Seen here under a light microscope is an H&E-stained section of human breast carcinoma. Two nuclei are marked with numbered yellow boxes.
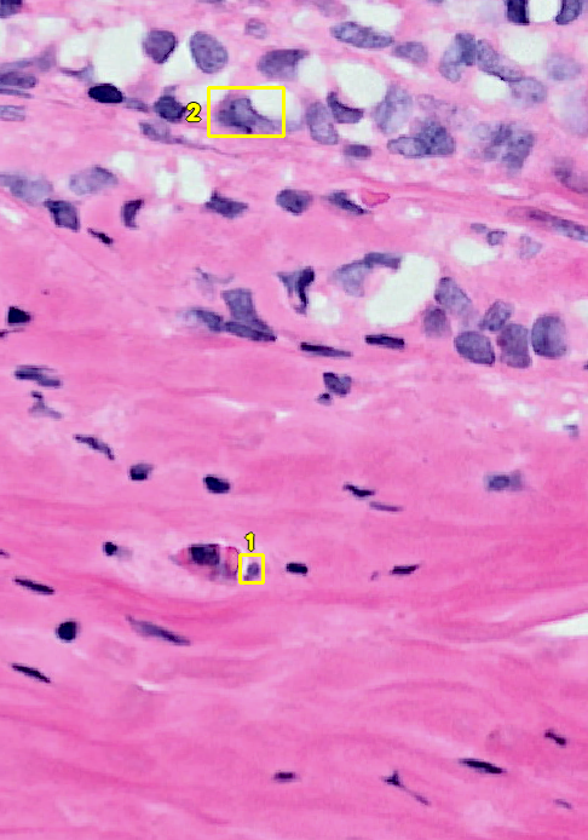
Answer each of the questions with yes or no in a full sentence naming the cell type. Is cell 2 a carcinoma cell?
Yes, that is right: the cell labelled 2 is a carcinoma cell.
